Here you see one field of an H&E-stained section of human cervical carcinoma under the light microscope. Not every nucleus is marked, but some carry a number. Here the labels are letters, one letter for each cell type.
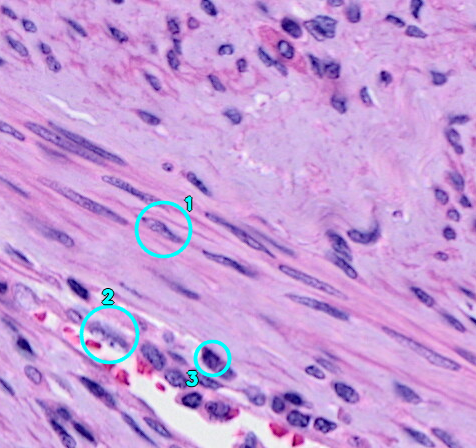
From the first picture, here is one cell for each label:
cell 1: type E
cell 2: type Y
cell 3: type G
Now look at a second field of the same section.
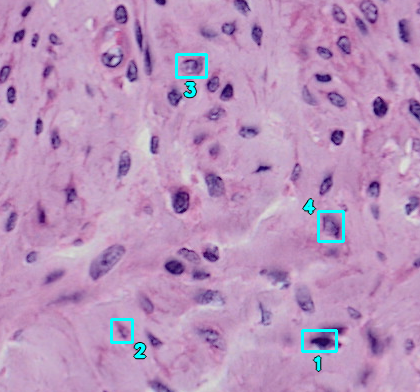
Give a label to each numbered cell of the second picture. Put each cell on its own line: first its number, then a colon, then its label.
1: type G
2: type E
3: type E
4: type E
